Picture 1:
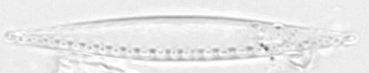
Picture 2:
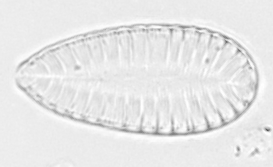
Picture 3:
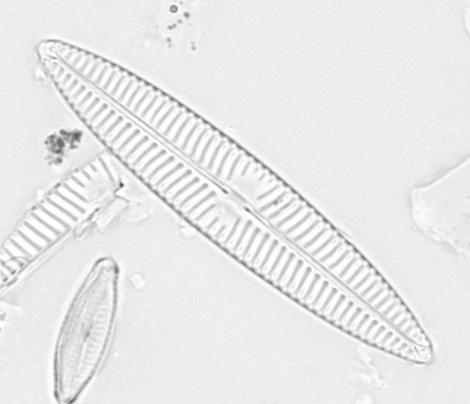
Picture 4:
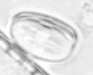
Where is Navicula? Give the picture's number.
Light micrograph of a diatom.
3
